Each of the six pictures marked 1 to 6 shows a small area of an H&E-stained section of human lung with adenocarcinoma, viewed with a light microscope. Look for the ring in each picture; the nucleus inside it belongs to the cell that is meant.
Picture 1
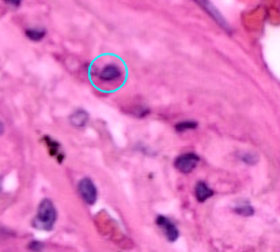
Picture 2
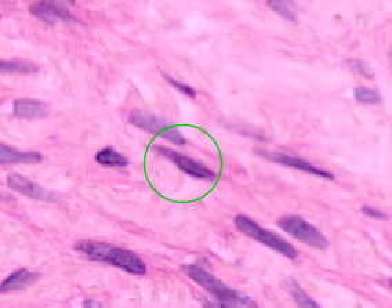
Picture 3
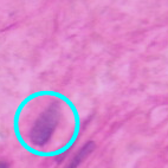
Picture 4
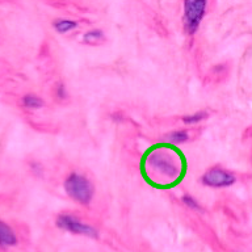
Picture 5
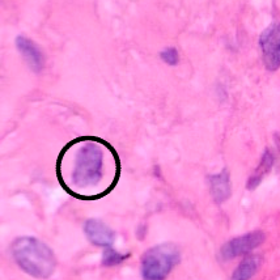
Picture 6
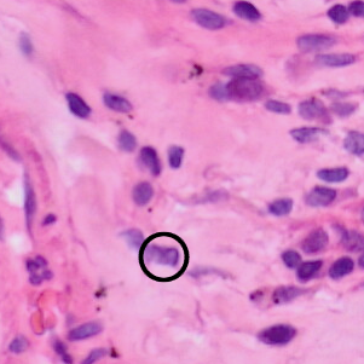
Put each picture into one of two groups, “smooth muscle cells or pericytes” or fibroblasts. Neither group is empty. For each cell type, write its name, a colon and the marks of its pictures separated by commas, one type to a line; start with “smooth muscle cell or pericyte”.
smooth muscle cell or pericyte: 1, 2, 3, 4
fibroblast: 5, 6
